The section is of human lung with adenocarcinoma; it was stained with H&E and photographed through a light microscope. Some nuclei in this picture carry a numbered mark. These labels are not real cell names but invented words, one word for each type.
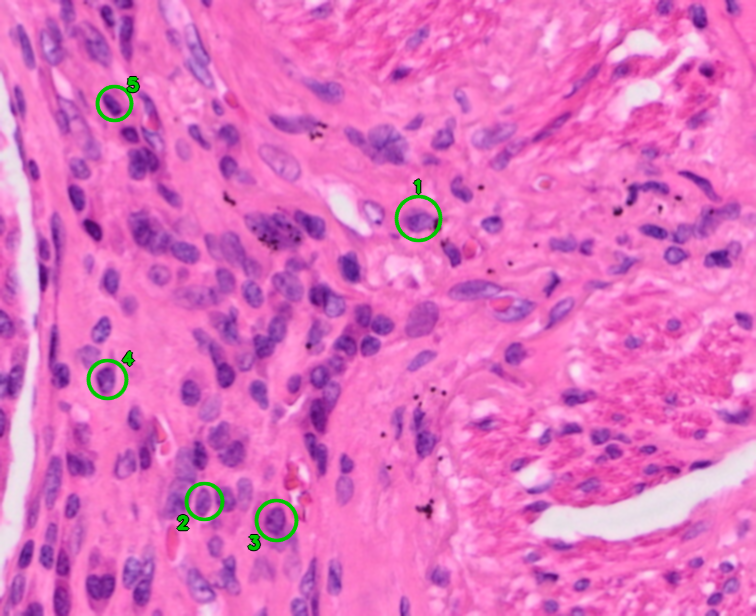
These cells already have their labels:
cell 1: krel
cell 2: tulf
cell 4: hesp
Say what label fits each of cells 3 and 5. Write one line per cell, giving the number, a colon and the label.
3: hesp
5: hesp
